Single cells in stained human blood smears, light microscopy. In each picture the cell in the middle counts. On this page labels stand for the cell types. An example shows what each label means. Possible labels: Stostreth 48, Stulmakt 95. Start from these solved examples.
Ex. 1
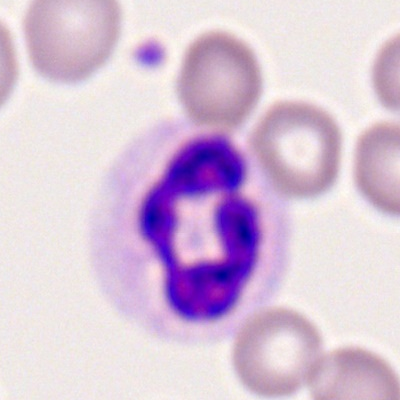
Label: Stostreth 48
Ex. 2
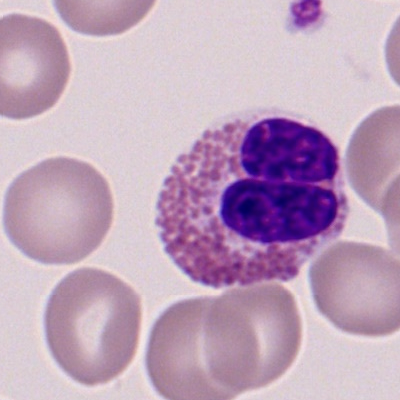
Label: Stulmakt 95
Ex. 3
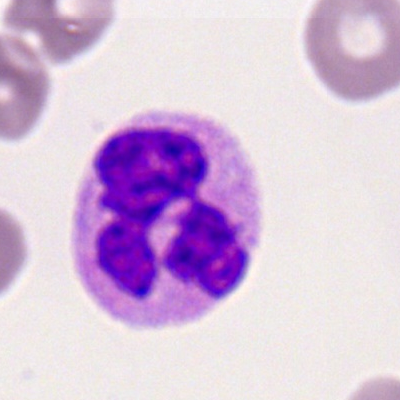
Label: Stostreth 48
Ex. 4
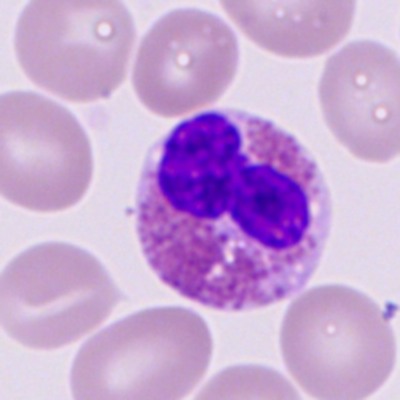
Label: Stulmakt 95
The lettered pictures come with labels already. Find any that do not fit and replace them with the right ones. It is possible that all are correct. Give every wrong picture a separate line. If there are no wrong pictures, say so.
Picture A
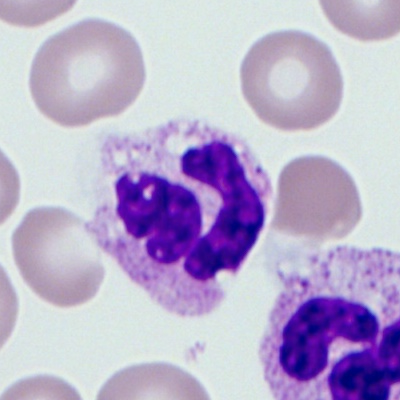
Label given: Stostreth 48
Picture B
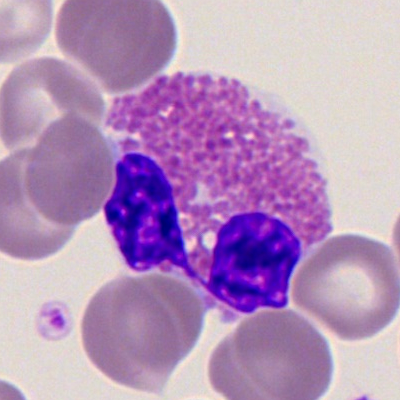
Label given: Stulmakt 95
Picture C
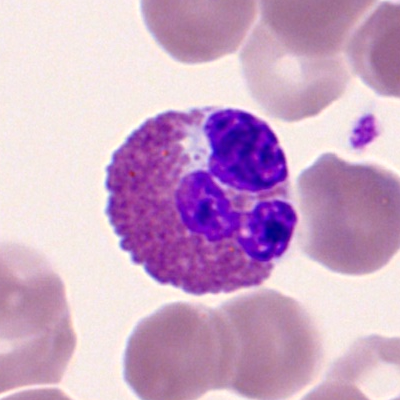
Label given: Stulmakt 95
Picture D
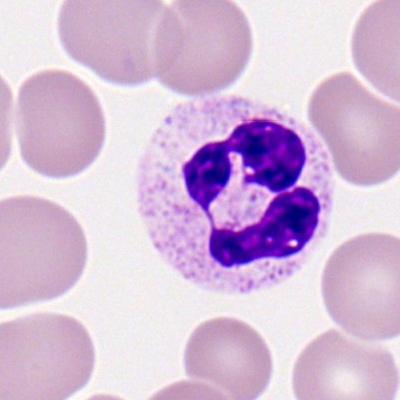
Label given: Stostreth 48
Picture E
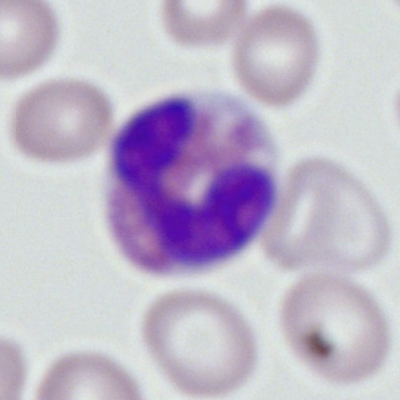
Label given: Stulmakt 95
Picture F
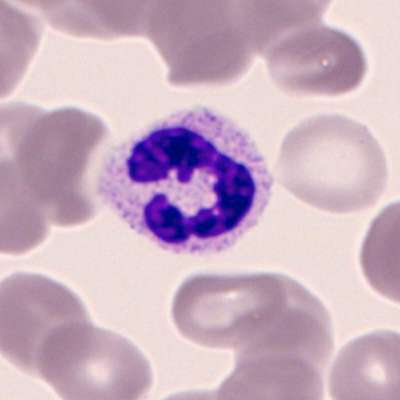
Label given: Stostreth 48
All correct.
